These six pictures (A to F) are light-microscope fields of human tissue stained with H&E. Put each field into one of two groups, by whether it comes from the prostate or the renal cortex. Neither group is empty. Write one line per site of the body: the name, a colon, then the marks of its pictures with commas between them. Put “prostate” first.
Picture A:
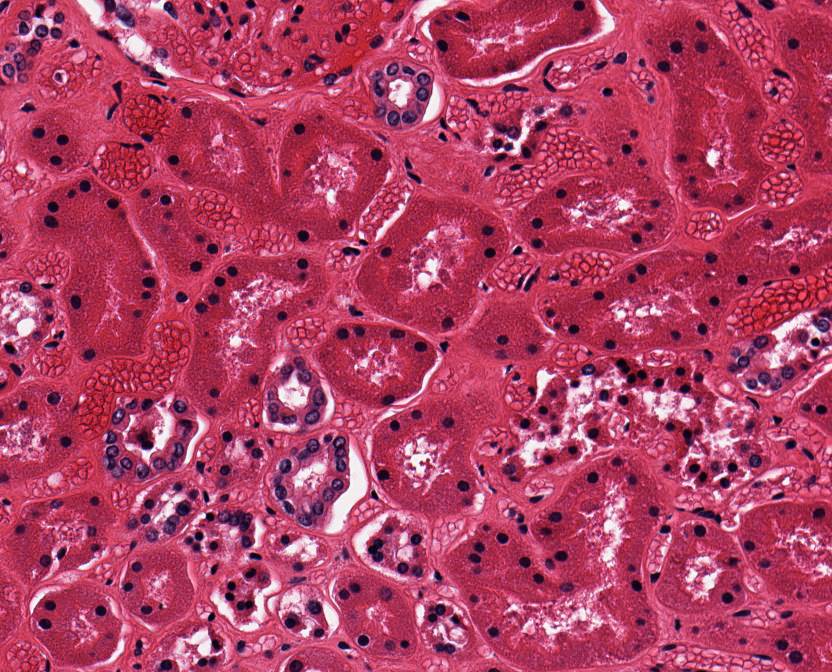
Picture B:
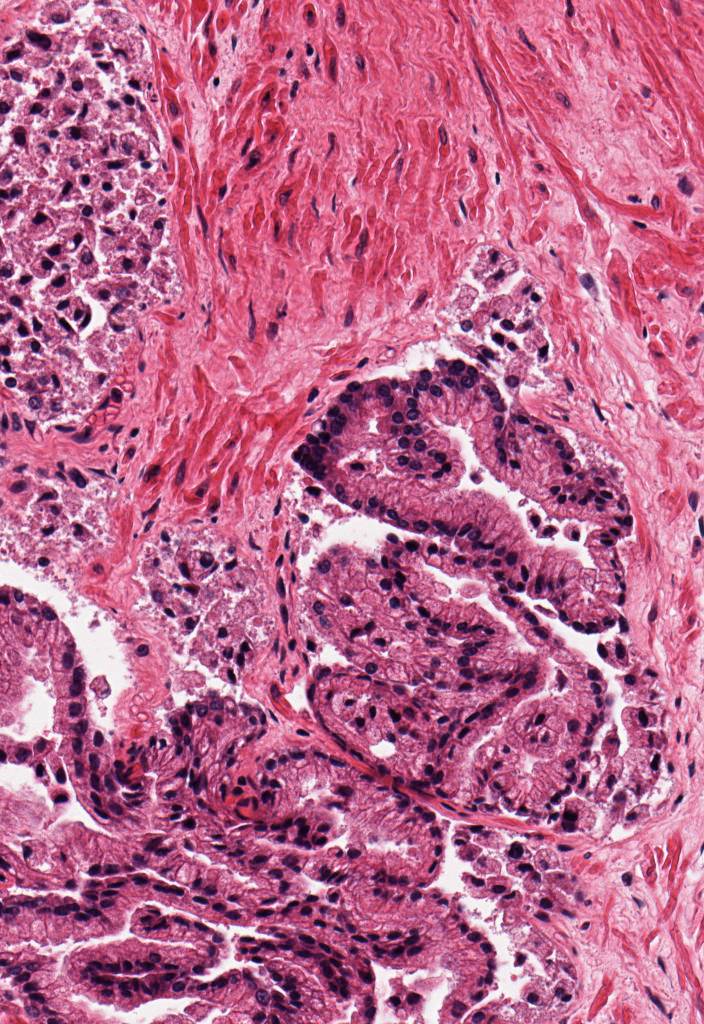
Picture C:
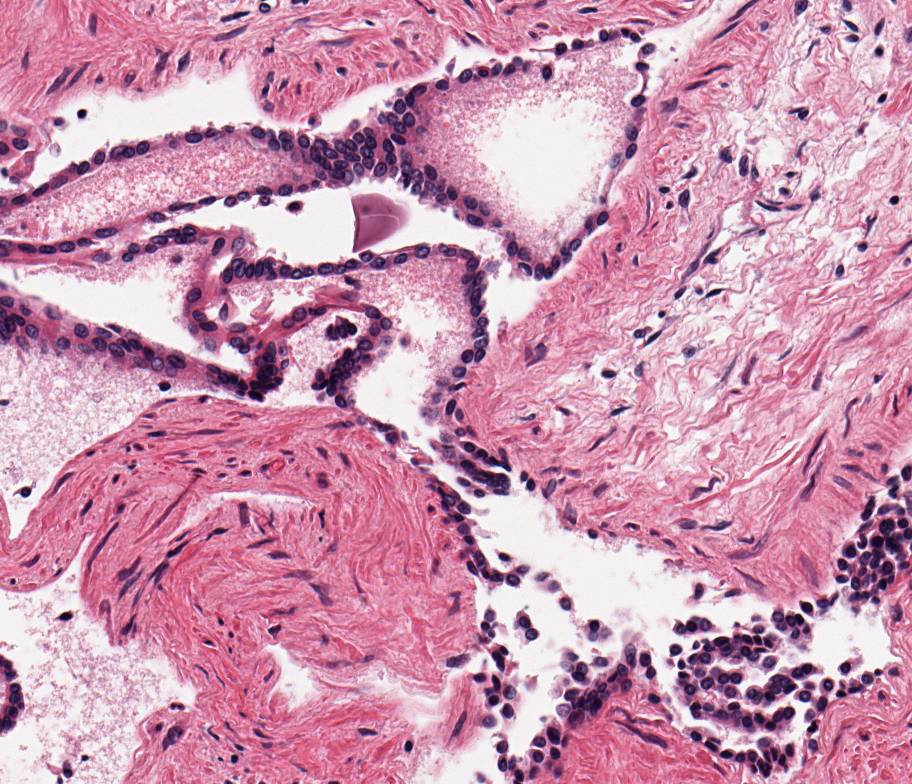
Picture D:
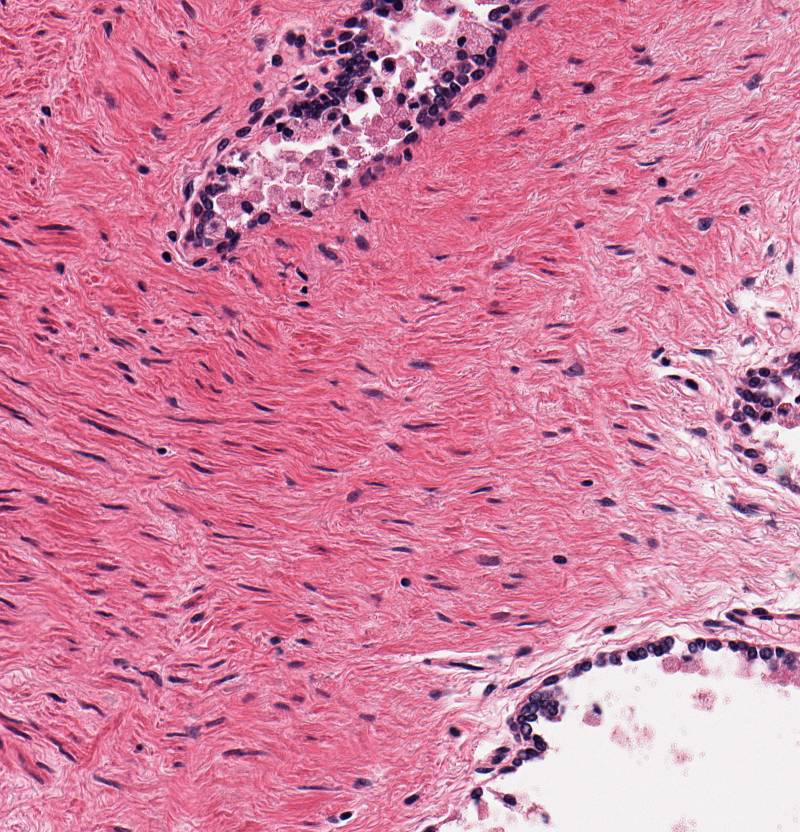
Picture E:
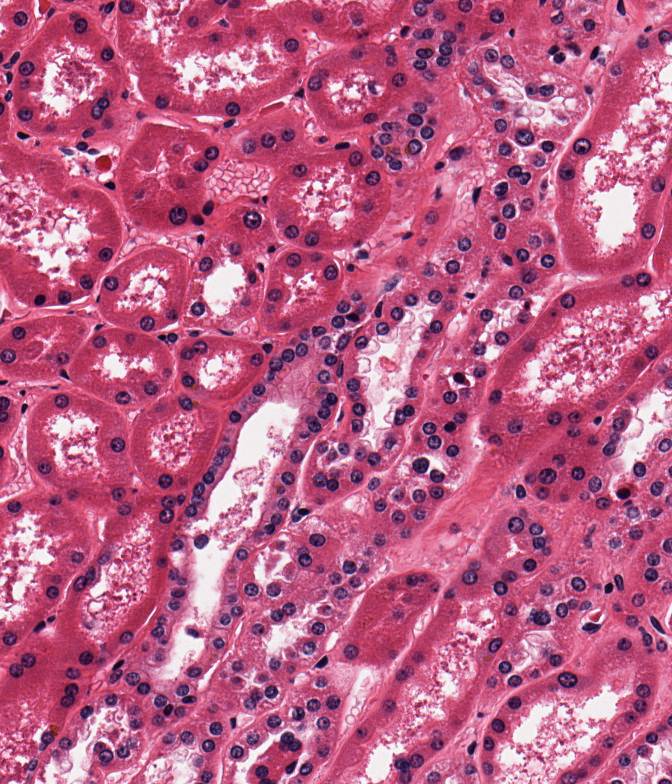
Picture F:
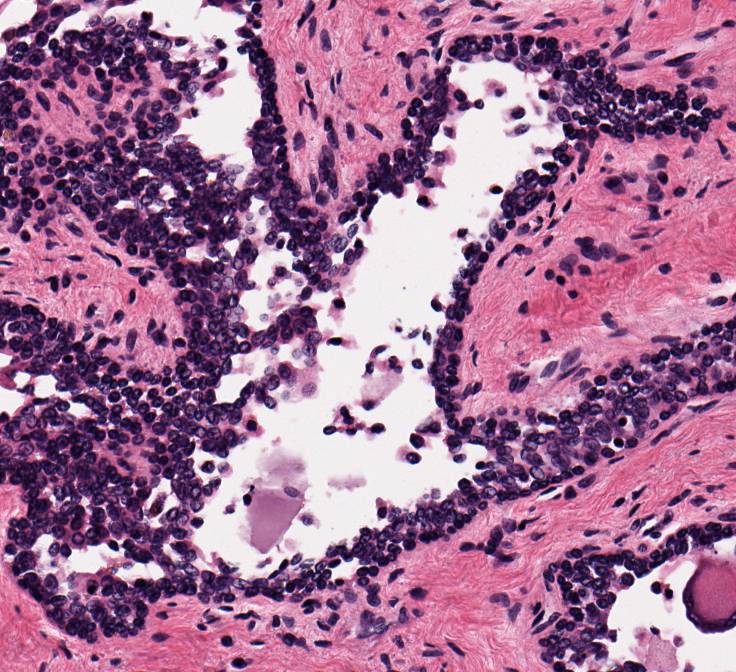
prostate: B, C, D, F
renal cortex: A, E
